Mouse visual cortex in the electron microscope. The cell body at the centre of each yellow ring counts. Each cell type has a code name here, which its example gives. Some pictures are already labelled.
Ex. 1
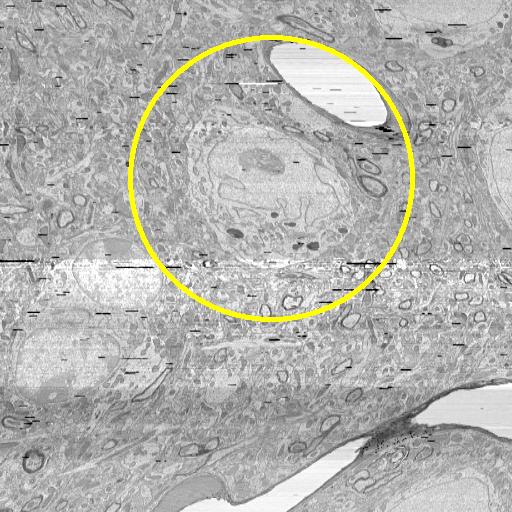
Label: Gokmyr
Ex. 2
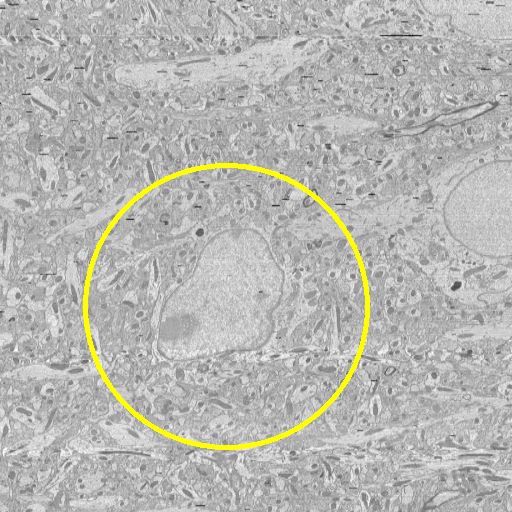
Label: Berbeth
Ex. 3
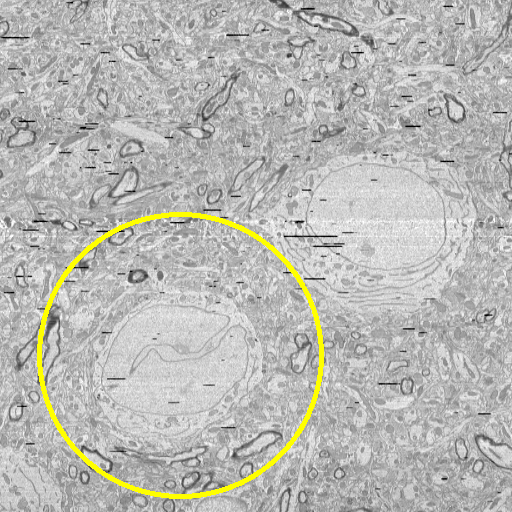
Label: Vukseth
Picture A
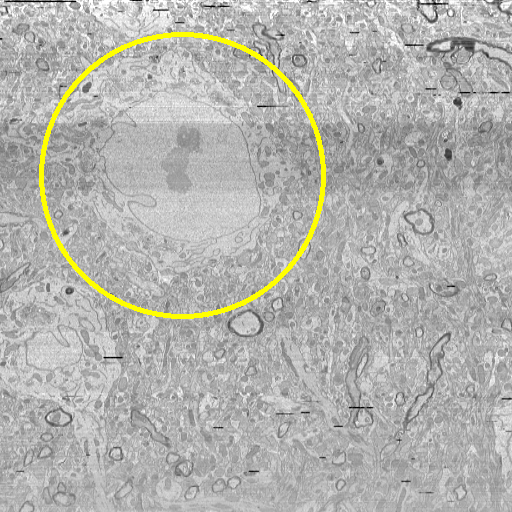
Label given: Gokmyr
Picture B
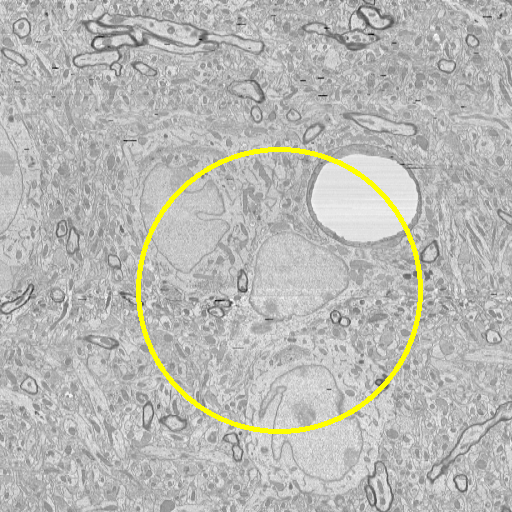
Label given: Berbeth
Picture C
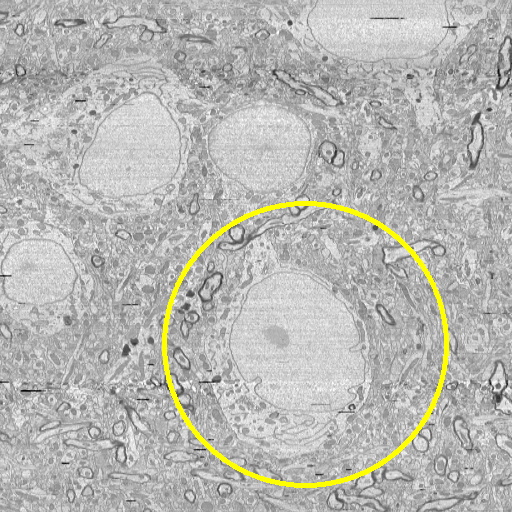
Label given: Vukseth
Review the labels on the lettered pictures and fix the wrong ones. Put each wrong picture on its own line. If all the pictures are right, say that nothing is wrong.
A: change Gokmyr to Vukseth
